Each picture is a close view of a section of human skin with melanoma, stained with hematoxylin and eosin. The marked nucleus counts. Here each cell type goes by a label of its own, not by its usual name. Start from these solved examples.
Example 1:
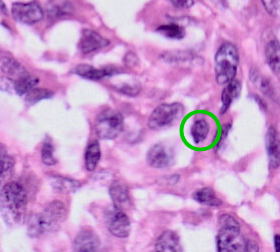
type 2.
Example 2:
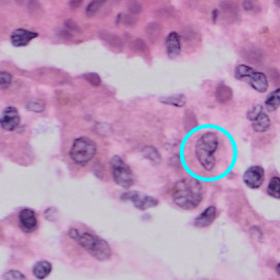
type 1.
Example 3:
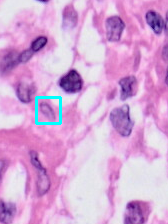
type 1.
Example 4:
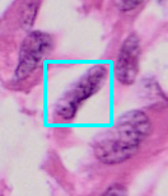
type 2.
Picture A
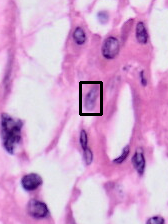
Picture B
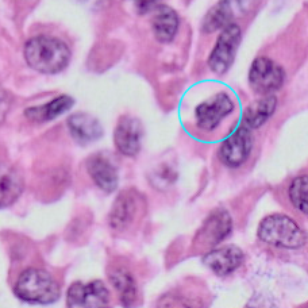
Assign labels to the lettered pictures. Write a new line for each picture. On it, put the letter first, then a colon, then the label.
A: type 1.
B: type 2.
